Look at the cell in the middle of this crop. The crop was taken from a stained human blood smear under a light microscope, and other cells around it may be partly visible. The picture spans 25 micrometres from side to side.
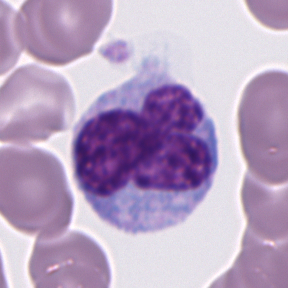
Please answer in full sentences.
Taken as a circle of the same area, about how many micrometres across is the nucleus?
About 10 micrometres: that is the diameter of the nucleus.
